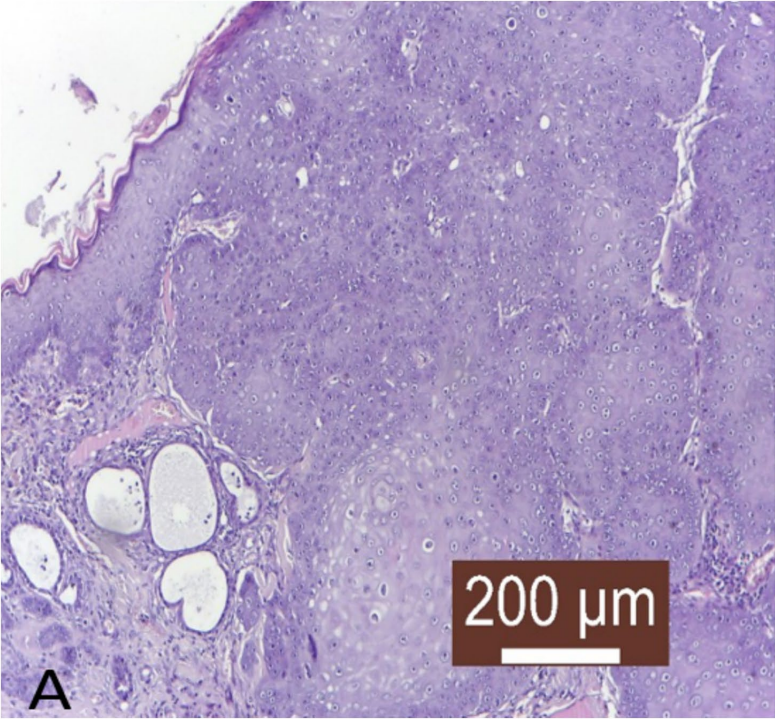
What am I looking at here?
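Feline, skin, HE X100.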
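A thin surface epithelium with a wavy pink keratin layer runs along the upper left edge, and beneath it broad sheets of tumor epithelial cells fill most of the field. Paler, more eosinophilic zones within the sheets hint at keratinization, and a cluster of rounded, clear-lumened glandular structures lies in the stroma at the lower left.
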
